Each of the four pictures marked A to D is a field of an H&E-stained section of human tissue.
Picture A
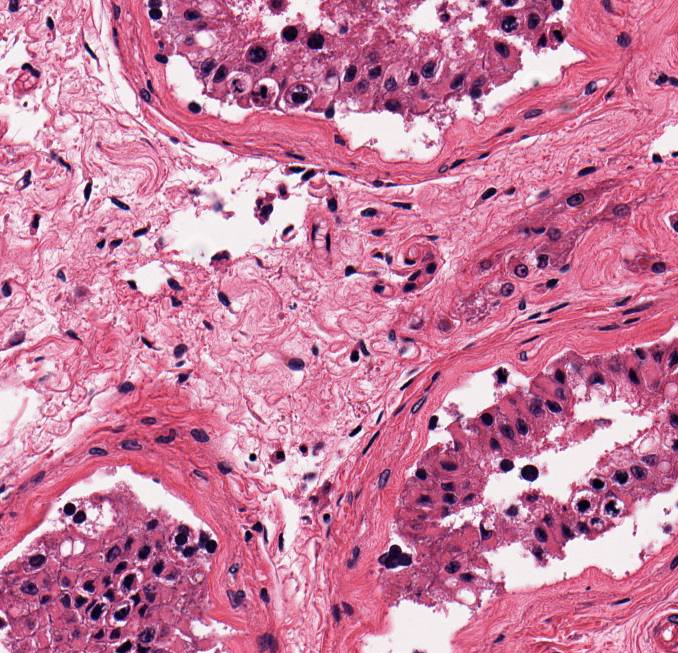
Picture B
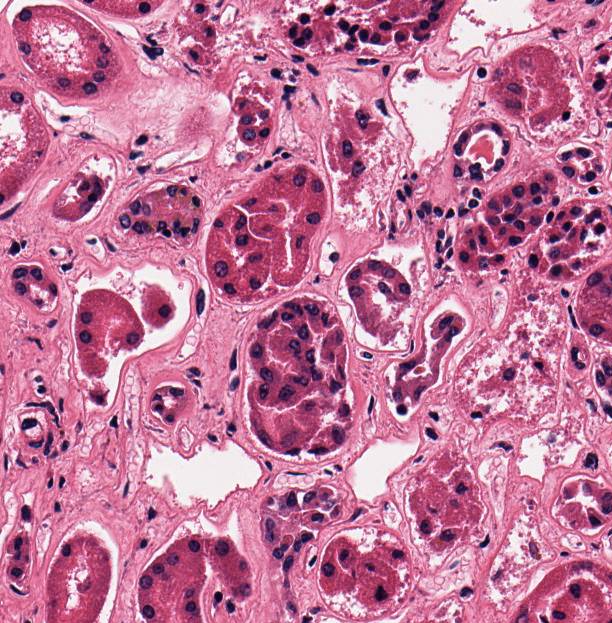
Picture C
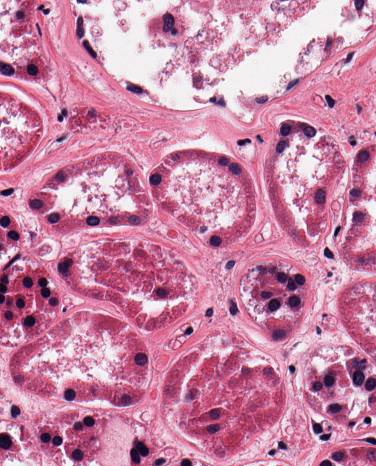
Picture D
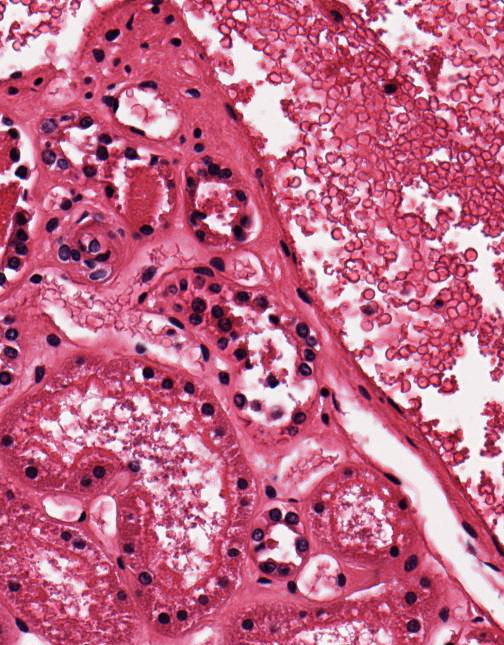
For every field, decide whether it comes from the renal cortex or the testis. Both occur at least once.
A: testis
B: renal cortex
C: renal cortex
D: renal cortex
